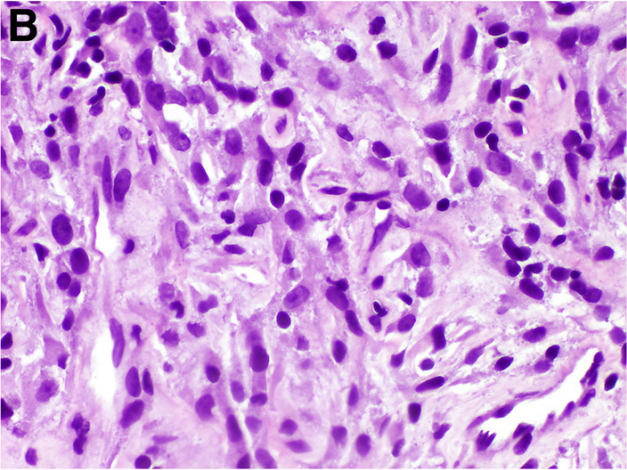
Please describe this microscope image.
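This is a tumor made of short spindle cells, seen at high magnification. The nuclei are purple, oval to elongated, some plump and some slender, and they vary noticeably in size and darkness, which marks them as atypical. The cytoplasm is pale pink and poorly outlined, blending into a wispy, fibrillary pink background, so individual cell borders are hard to trace. The cells lie loosely in short irregular streams and swirls rather than in tight bundles. Small open slit-like spaces, likely small vessels, are scattered among them. Dividing cells are not easy to find.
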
